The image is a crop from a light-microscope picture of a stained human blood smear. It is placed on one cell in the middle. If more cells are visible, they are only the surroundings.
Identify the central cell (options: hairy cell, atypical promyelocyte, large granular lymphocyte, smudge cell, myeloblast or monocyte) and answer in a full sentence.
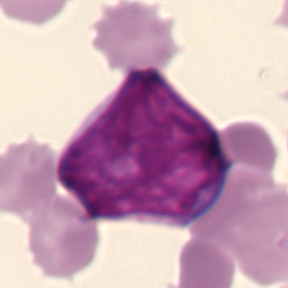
The centrally positioned cell in the crop represents a myeloblast.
